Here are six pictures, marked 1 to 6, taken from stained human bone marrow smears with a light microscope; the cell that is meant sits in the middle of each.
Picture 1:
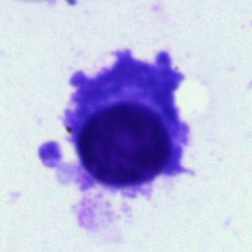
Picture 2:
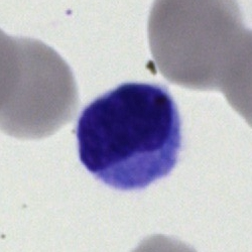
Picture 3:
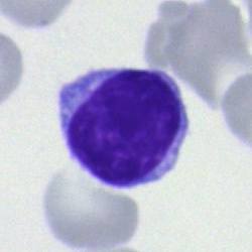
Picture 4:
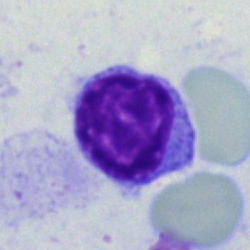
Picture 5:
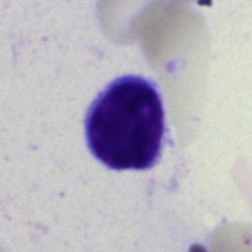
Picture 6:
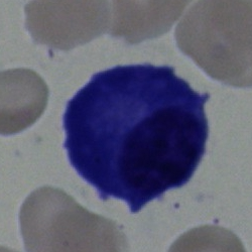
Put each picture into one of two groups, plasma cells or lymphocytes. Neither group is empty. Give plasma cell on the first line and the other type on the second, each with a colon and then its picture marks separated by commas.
plasma cell: 1, 6
lymphocyte: 2, 3, 4, 5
